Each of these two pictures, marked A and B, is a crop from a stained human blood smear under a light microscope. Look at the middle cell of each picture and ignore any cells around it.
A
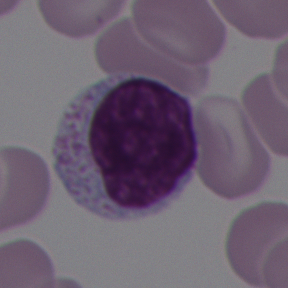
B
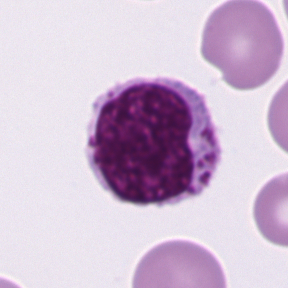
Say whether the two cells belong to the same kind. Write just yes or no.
yes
